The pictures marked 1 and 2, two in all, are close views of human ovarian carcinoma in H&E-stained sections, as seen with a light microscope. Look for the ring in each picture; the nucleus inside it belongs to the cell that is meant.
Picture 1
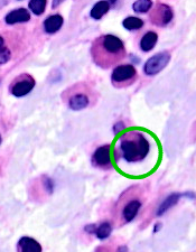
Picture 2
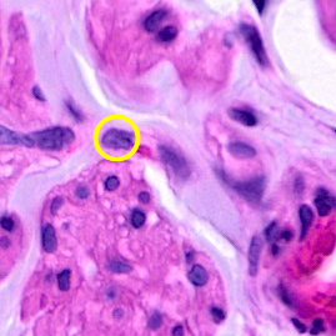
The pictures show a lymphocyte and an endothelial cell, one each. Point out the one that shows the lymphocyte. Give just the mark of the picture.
1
